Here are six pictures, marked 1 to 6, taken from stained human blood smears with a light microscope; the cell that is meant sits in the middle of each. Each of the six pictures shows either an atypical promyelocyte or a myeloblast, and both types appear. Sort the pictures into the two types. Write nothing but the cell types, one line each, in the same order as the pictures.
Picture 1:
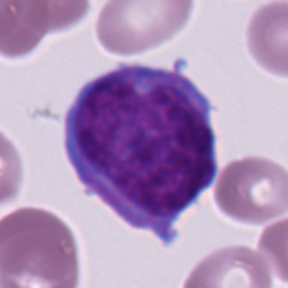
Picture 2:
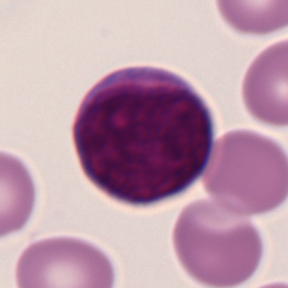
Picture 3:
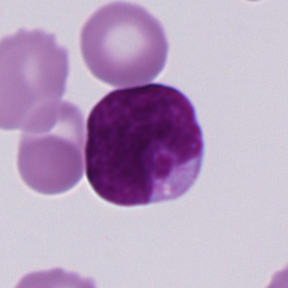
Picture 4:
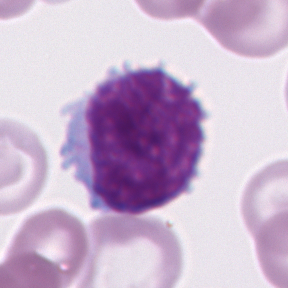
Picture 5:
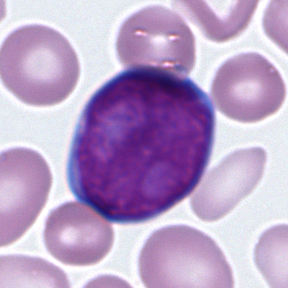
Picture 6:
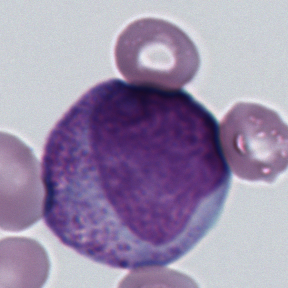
atypical promyelocyte
myeloblast
myeloblast
myeloblast
myeloblast
atypical promyelocyte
